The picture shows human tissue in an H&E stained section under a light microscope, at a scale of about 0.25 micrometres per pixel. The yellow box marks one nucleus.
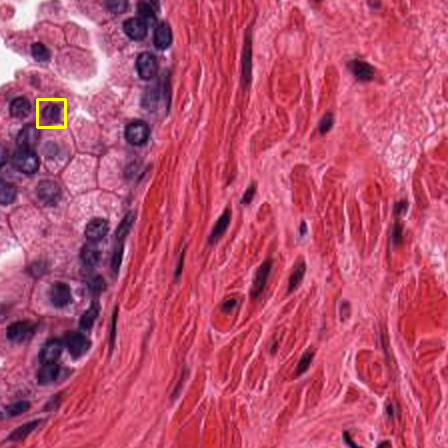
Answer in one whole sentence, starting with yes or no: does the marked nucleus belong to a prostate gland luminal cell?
Yes, the marked nucleus belongs to a prostate gland luminal cell.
